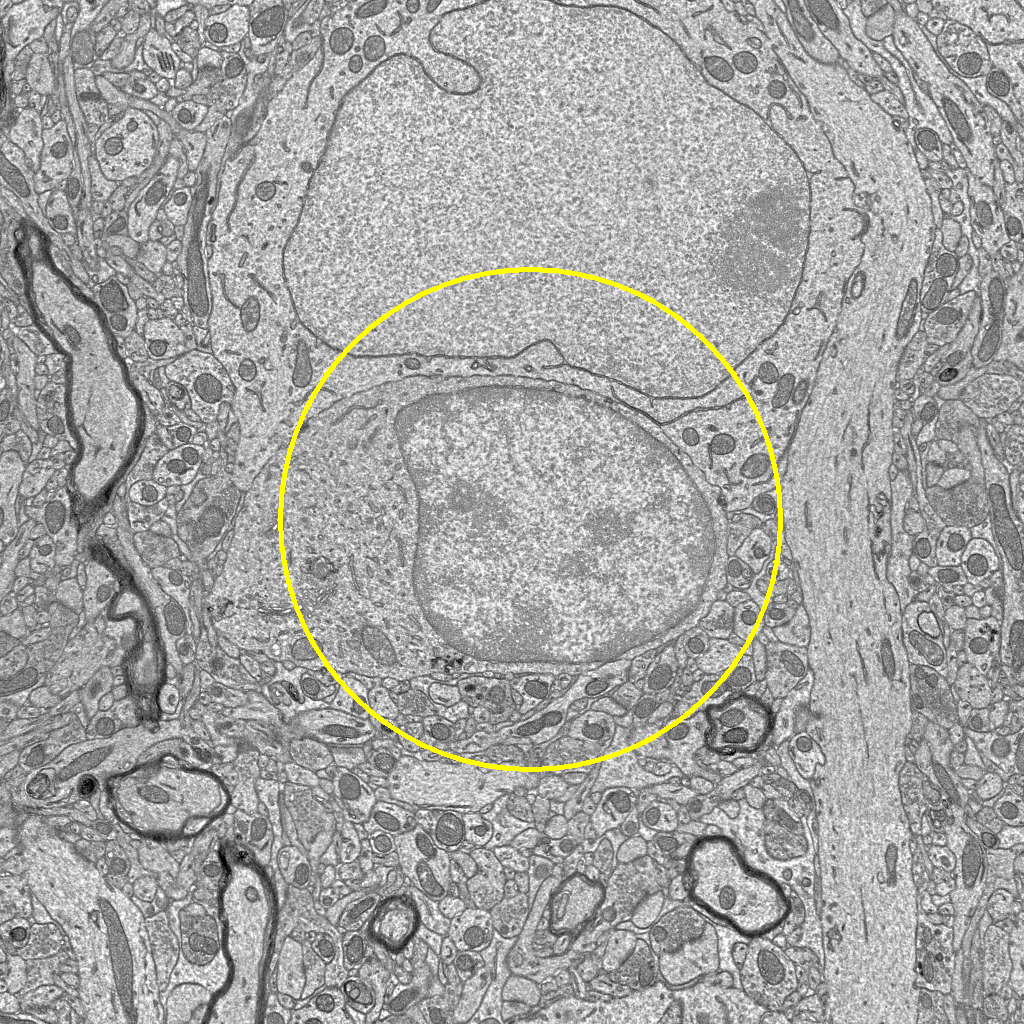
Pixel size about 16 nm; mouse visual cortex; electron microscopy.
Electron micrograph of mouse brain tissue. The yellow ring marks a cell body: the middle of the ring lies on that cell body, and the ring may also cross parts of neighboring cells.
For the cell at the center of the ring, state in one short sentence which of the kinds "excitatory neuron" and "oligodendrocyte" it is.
This ring's center lies on an oligodendrocyte.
